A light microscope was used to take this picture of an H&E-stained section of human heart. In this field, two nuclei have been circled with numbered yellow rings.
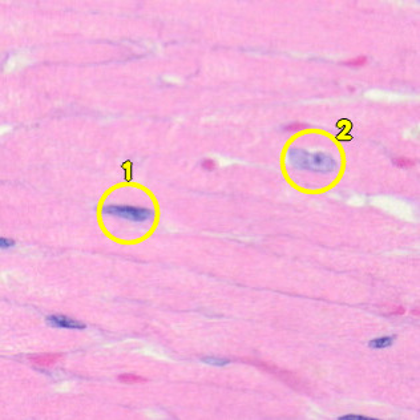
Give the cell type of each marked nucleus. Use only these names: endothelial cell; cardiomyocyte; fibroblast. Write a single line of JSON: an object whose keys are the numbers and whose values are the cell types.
{"1": "endothelial cell", "2": "cardiomyocyte"}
